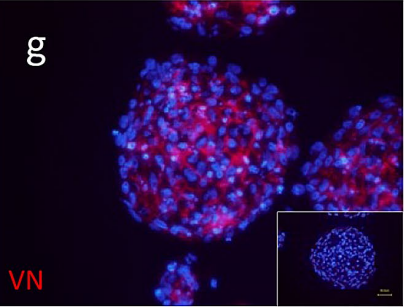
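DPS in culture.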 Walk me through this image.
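Red staining fills much of the space between the nuclei throughout the sphere. Smaller aggregates lie at the edges beside it, and the inset shows a similar sphere with blue nuclei but no red.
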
